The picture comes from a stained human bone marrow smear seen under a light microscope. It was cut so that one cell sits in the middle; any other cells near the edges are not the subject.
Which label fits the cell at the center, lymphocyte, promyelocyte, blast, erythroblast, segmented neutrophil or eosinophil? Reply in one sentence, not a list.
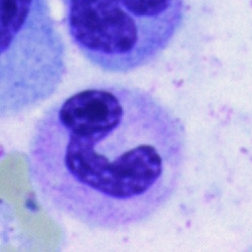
Occupying the centre of the crop is a segmented neutrophil.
